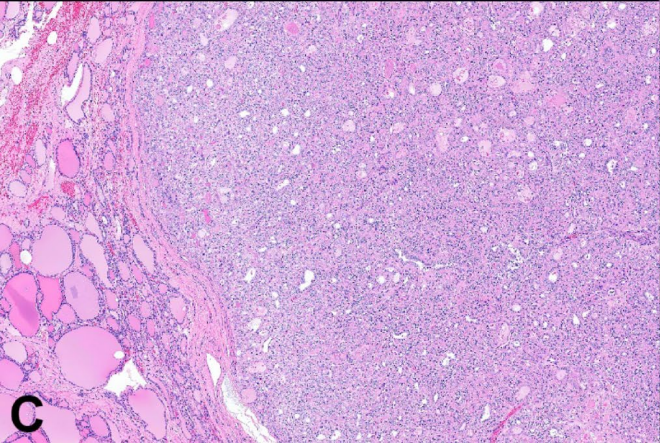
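This shows the edge of a thyroid nodule: on the left, surrounding thyroid has large follicles filled with pink colloid. A thin pink band of fibrous capsule separates this from the nodule on the right, which is densely cellular and composed of many small follicles.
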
